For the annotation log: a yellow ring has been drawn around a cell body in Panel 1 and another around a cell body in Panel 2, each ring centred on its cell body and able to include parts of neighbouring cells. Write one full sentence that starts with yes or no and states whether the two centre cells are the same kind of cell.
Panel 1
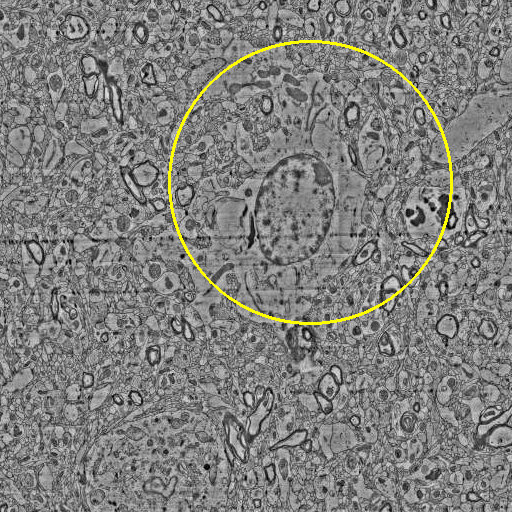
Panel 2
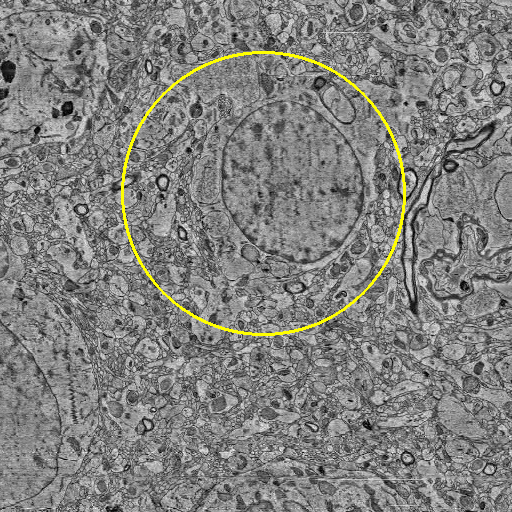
Yes, the two centre cells are the same kind of cell.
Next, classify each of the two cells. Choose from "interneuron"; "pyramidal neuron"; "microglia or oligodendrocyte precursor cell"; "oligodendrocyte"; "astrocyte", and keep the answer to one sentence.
The cell at the ring centre is an astrocyte in both pictures.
